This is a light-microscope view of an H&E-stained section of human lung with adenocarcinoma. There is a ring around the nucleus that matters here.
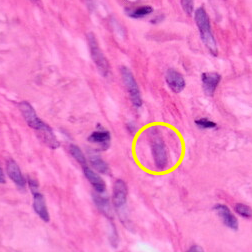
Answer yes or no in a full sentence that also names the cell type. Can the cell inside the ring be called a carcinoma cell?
No, the cell inside the ring is not a carcinoma cell; the correct answer is a smooth muscle cell or pericyte.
